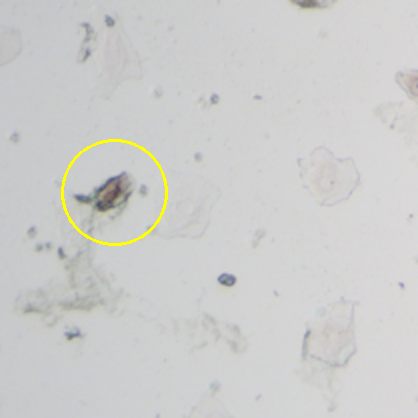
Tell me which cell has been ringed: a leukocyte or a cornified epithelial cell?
It is a cornified epithelial cell.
